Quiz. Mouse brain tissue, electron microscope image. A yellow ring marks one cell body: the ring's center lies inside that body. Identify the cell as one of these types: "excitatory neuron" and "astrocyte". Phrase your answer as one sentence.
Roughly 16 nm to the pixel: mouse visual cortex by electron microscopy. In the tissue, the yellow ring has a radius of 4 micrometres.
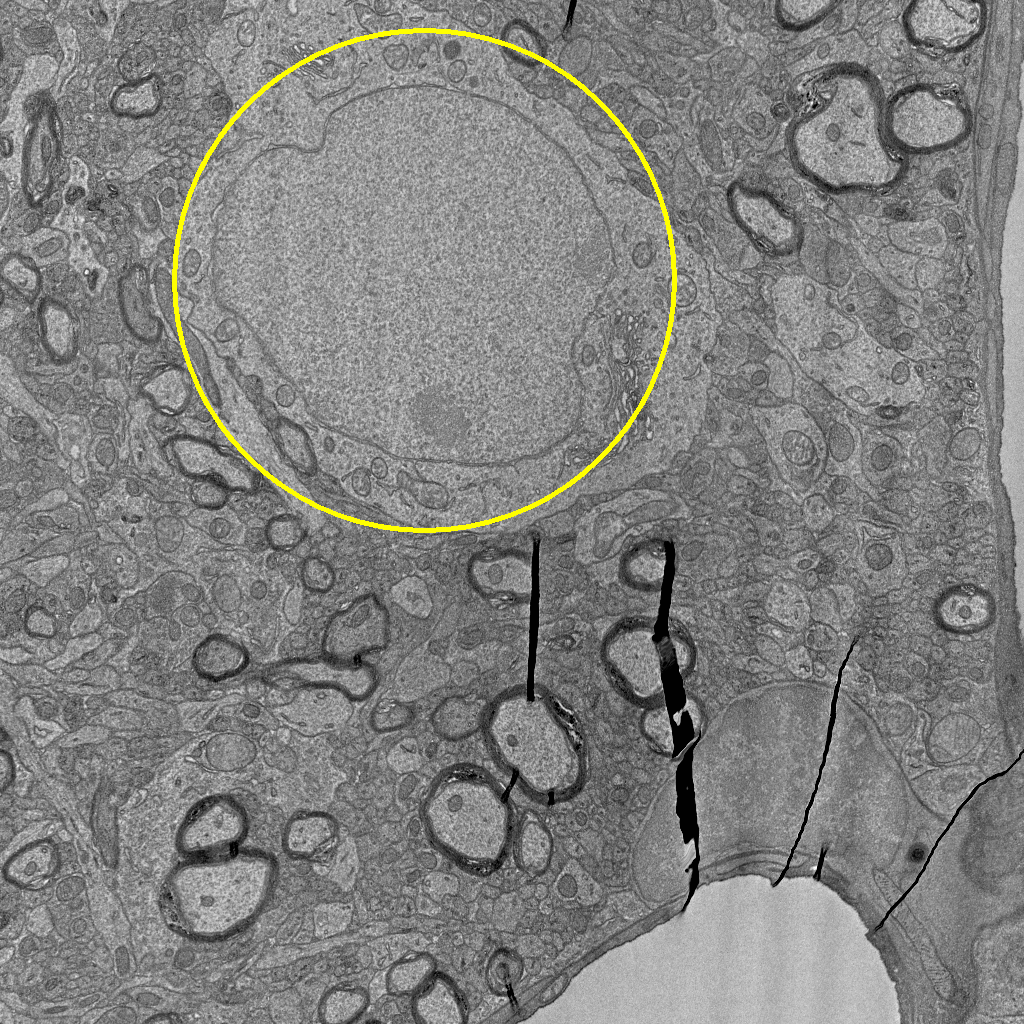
At the center of the ring sits an excitatory neuron.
